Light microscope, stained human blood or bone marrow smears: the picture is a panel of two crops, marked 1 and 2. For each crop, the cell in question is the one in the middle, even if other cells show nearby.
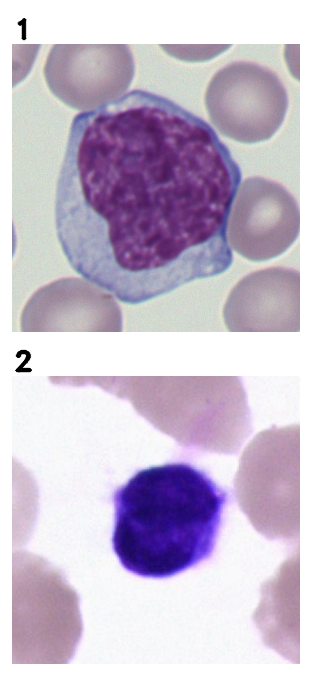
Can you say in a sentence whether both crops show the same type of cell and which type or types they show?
No, it is in crop 1 that a blast is shown, and in crop 2 that a lymphocyte is shown.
